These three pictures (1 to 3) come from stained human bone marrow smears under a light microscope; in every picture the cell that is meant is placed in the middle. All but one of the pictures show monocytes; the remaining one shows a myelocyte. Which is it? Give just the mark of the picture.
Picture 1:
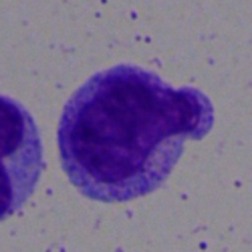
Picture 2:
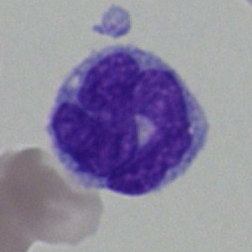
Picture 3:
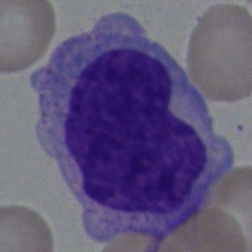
1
